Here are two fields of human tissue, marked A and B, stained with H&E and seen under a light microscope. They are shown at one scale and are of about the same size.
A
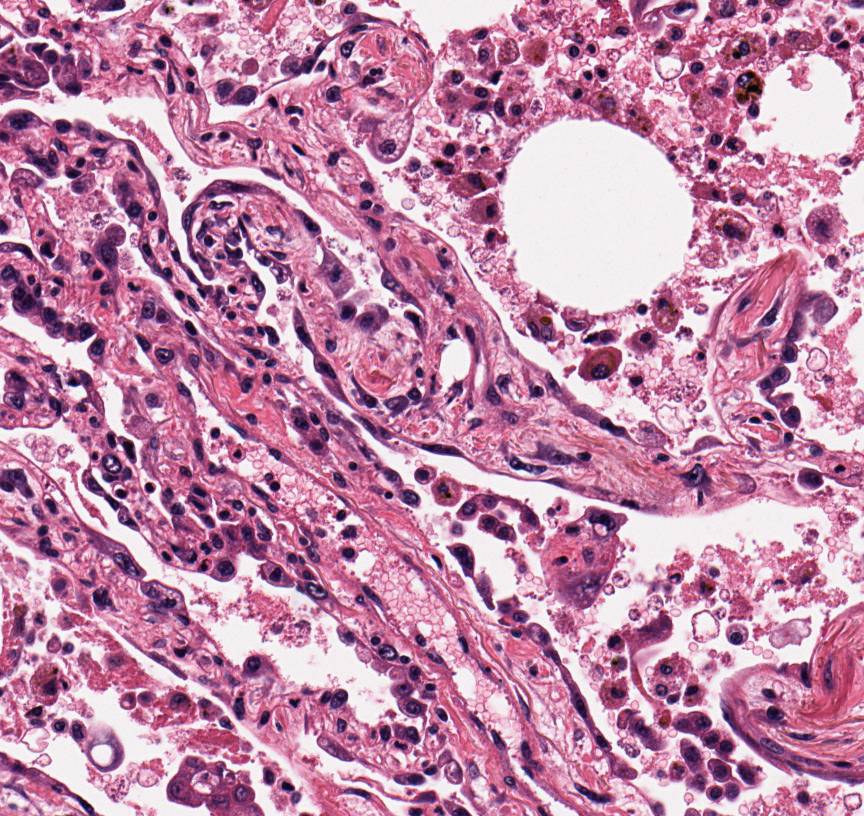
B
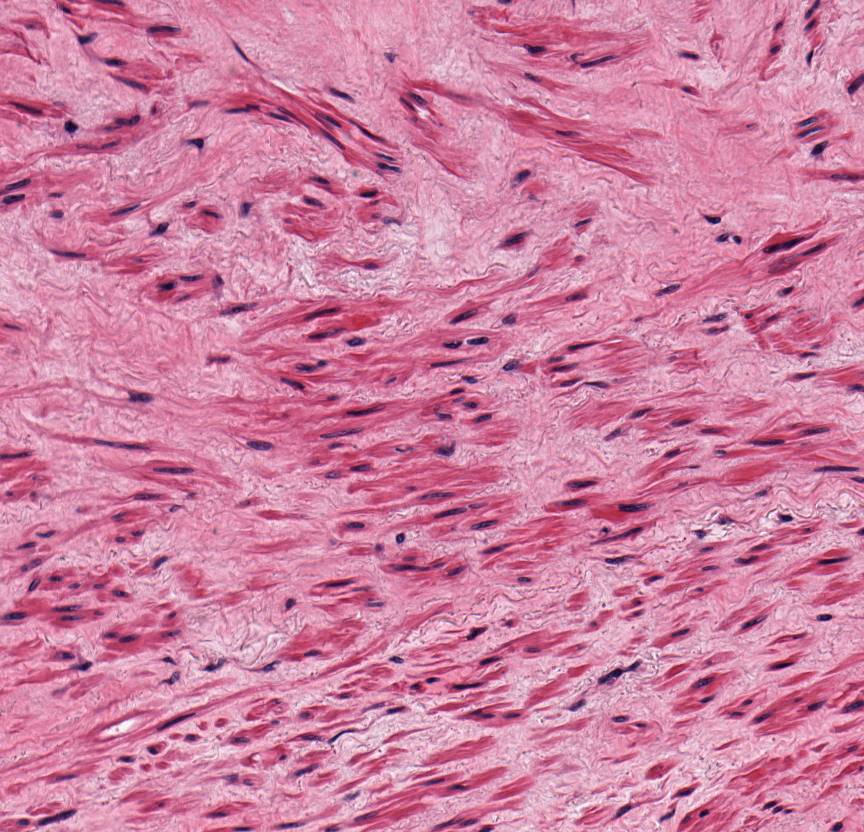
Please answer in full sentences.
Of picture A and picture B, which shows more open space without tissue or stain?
Unstained space takes up more of picture A than of picture B.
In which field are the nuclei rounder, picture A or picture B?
Rounder nuclei lie in picture A.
